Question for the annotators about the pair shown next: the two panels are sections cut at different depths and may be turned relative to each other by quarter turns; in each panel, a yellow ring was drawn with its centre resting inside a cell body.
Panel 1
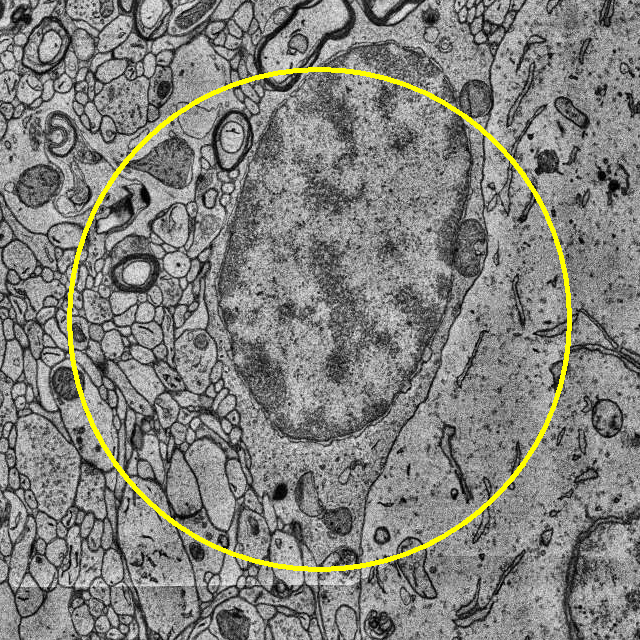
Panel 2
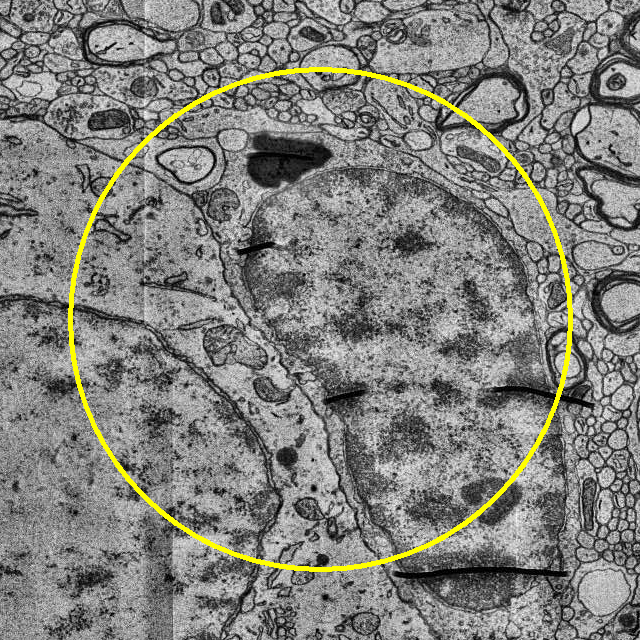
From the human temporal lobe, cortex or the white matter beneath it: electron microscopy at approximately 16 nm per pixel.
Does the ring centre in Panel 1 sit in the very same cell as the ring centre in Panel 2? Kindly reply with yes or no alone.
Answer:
no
